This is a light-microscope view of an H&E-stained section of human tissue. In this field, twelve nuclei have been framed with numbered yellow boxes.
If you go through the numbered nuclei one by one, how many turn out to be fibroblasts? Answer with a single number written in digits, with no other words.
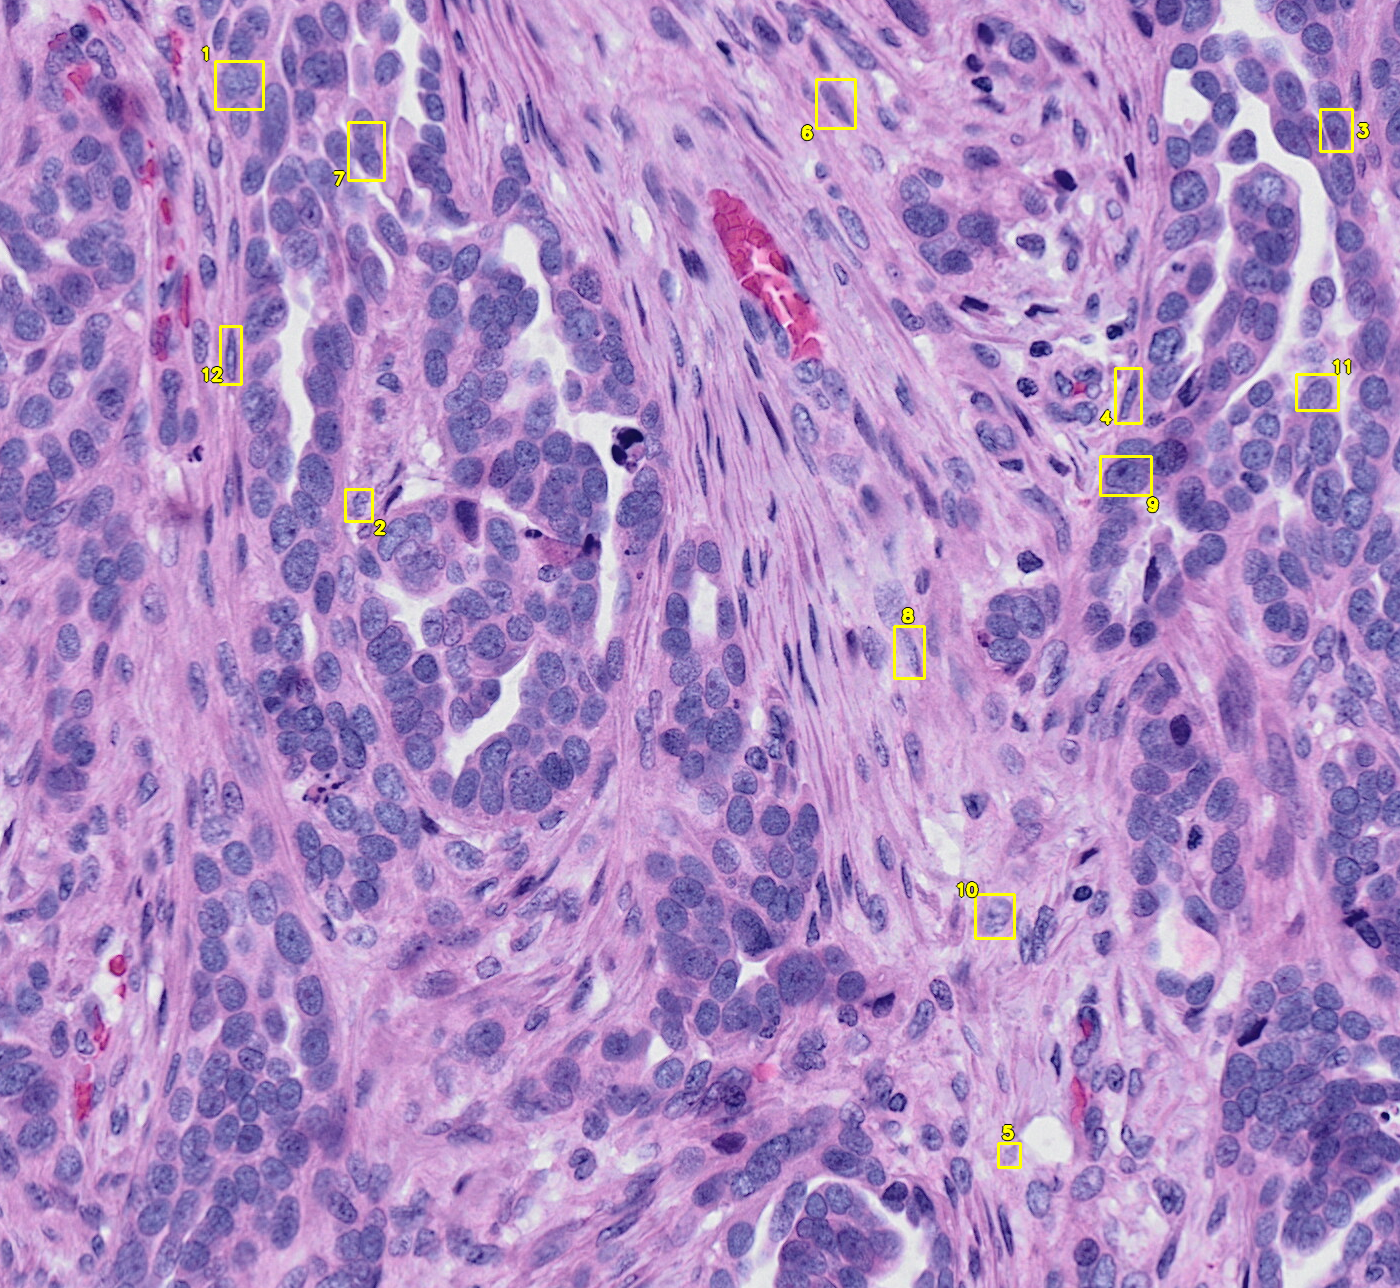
7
